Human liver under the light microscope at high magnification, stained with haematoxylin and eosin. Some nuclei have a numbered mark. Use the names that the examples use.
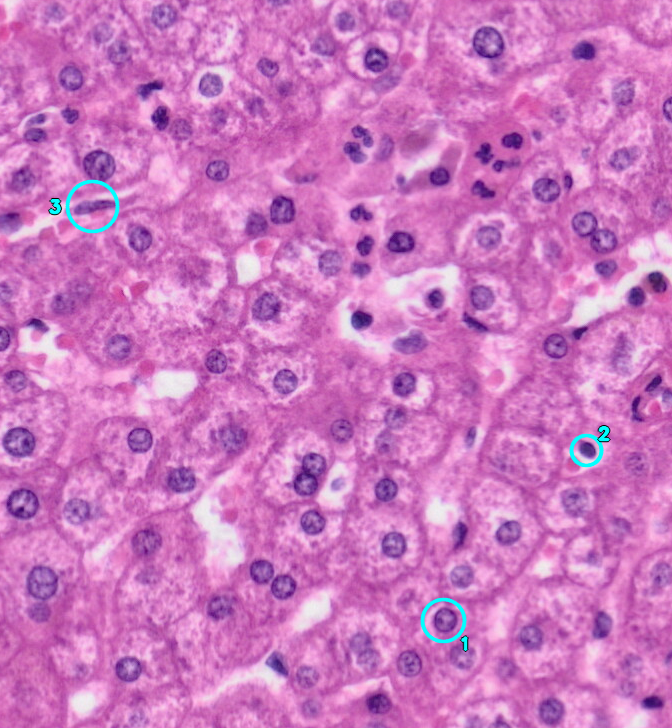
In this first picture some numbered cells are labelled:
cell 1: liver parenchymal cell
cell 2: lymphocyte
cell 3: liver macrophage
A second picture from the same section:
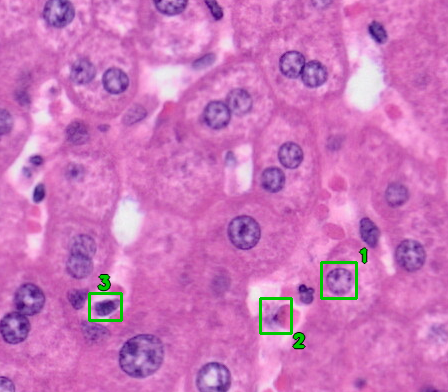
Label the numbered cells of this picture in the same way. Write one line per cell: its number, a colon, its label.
1: liver parenchymal cell
2: liver macrophage
3: lymphocyte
